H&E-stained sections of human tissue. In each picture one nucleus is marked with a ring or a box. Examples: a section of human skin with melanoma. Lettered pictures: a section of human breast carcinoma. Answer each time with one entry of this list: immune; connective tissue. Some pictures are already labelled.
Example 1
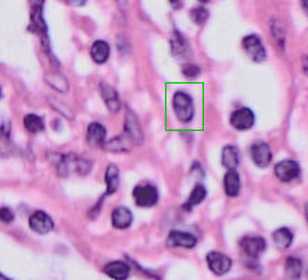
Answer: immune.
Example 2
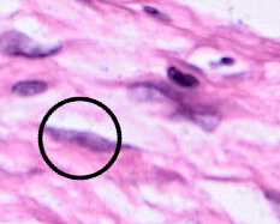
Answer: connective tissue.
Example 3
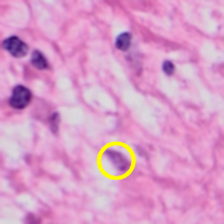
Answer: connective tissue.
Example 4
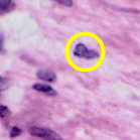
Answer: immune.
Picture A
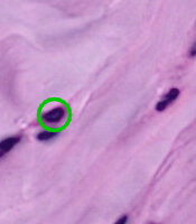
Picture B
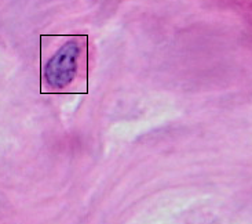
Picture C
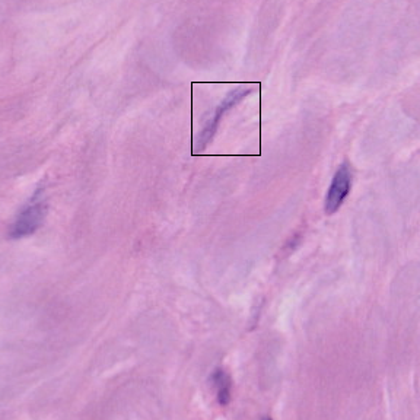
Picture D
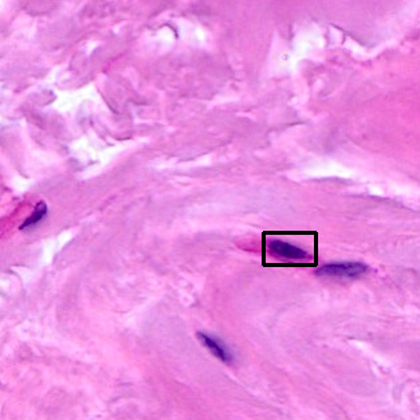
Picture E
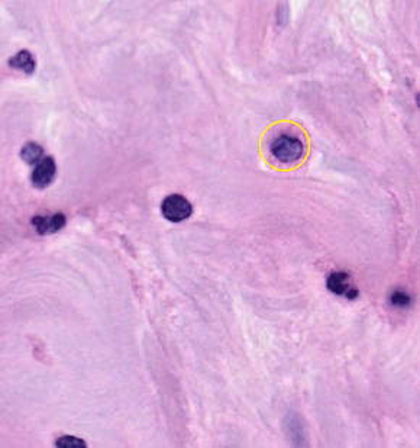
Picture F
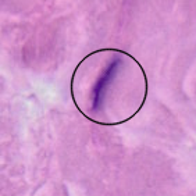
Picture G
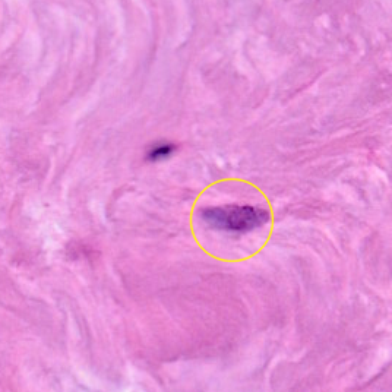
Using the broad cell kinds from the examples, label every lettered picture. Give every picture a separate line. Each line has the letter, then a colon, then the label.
A: immune.
B: immune.
C: connective tissue.
D: immune.
E: immune.
F: connective tissue.
G: connective tissue.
